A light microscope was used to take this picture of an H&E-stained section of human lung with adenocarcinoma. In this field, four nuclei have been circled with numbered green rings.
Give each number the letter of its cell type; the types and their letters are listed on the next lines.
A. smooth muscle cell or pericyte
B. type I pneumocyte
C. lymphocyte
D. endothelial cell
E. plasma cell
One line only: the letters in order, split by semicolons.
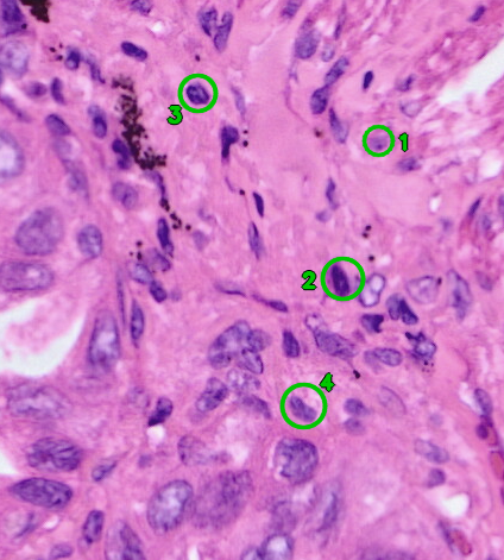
A; E; C; C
